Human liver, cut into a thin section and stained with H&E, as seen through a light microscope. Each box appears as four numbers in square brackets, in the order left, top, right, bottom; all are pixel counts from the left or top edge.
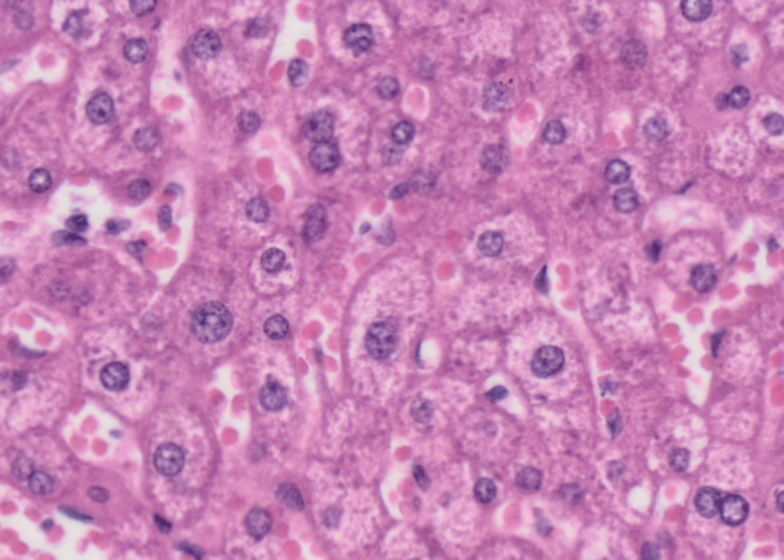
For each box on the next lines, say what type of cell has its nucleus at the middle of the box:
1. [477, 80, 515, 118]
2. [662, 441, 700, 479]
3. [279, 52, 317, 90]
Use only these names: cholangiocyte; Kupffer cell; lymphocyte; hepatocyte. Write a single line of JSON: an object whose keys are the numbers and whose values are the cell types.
{"1": "hepatocyte", "2": "hepatocyte", "3": "Kupffer cell"}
